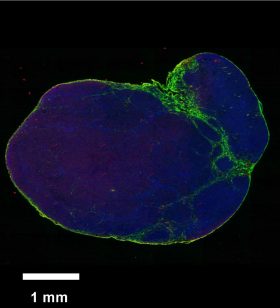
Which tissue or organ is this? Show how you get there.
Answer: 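A single oval organ section about 4 mm across, sharply bounded. A thin green rim runs around the outer edge. Green strands gather at one indented side of the section. The answer: lymph nodes.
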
